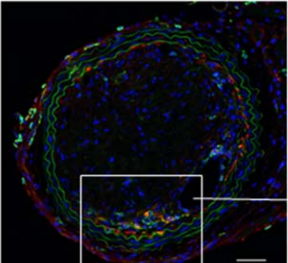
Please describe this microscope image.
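Low-power cross-section of a vessel whose lumen is filled by a thick layer of tissue containing many blue nuclei. Concentric wavy green bands encircle this layer and mark the outer limit of the filled lumen. Along the lower edge, inside a white box, a patch of green, red and yellow staining lies on the inner side of the wavy bands. Green-stained cells are also scattered in the tissue outside the vessel wall.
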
